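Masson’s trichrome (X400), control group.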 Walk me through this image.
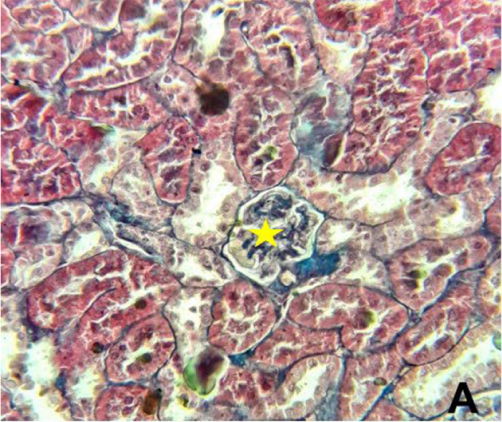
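Kidney cortex with a single small glomerulus surrounded by convoluted tubules. The tubules have red-stained cytoplasm around irregular lumens, and the glomerular tuft is ringed by a clear space and a thin capsule.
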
